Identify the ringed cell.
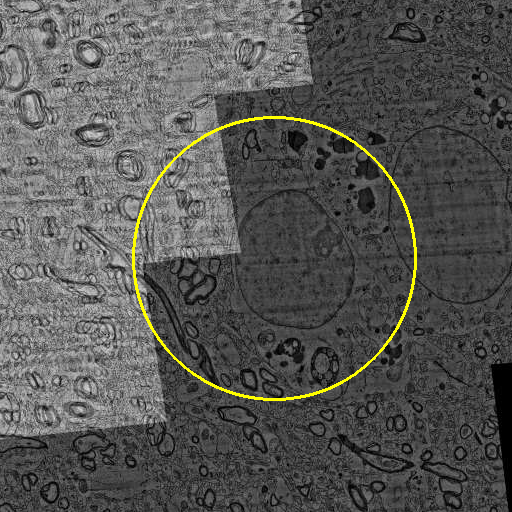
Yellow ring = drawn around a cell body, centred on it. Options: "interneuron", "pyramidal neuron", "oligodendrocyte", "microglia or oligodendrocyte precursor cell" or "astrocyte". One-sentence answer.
What the ring is centred on is an astrocyte.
